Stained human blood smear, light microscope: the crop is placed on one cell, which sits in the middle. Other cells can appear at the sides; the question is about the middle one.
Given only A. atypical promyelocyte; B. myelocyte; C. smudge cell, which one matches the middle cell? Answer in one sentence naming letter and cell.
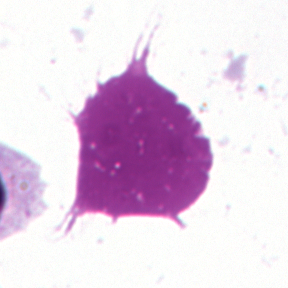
The correct option here is C; the middle cell is a smudge cell.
